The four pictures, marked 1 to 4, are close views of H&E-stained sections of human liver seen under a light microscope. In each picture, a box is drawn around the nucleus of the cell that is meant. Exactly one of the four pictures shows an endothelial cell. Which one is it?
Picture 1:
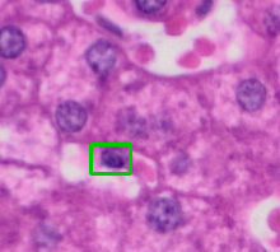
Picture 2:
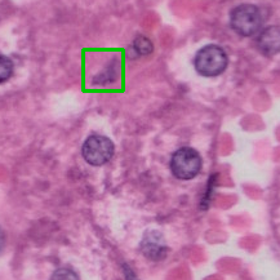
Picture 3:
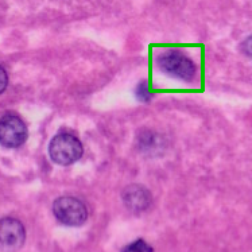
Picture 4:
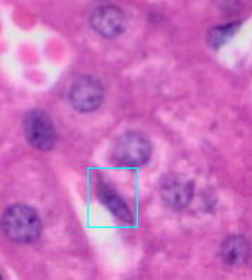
2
